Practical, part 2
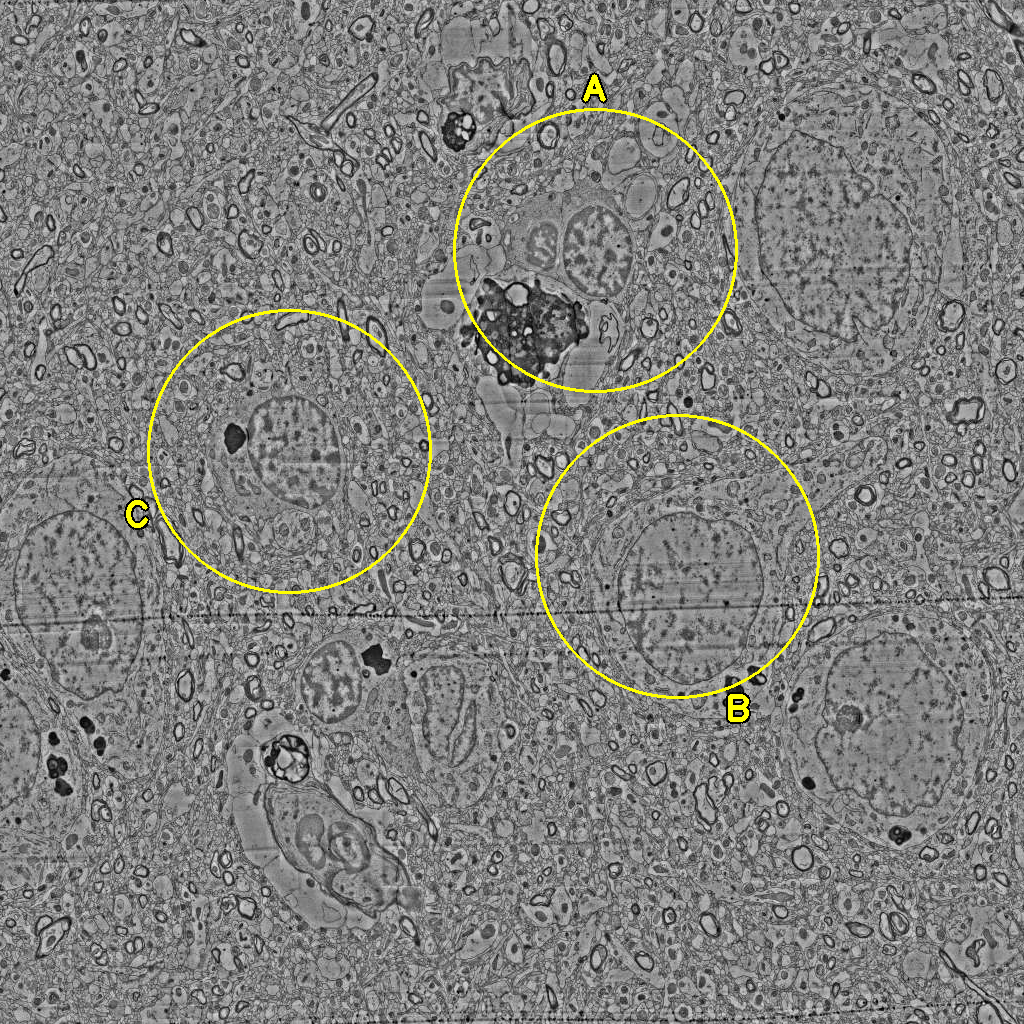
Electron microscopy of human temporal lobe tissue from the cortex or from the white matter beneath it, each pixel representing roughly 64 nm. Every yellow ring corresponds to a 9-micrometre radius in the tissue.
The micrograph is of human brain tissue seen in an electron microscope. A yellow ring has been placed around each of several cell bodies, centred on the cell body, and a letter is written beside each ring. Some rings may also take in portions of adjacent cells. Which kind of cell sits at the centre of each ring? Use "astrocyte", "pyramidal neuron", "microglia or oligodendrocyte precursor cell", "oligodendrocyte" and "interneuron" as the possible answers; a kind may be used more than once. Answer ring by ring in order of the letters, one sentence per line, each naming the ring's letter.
Ring A sits on an oligodendrocyte.
Ring B sits on a pyramidal neuron.
Ring C sits on an oligodendrocyte.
